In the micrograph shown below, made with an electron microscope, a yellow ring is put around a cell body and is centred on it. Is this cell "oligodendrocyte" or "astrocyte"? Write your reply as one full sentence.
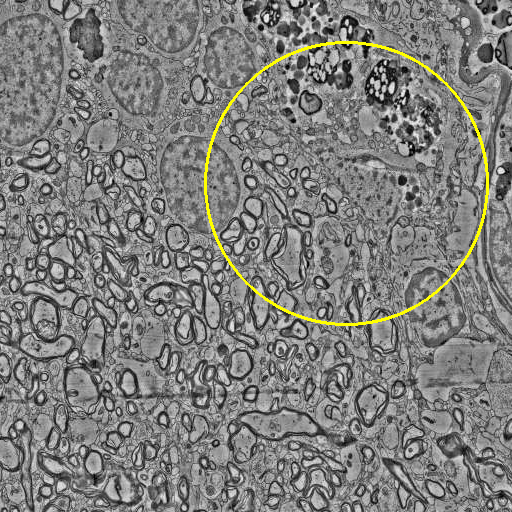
In the micrograph, an astrocyte is the cell at the centre of the yellow ring.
